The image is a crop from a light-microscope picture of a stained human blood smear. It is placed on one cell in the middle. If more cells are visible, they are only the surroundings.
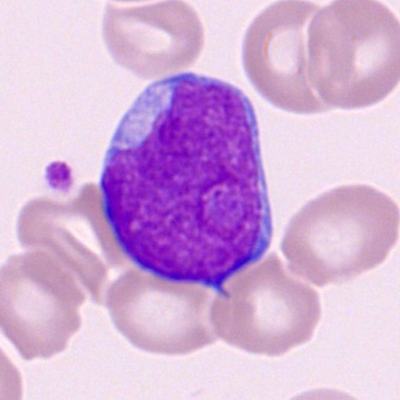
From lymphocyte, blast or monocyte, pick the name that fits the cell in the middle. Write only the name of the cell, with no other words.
blast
